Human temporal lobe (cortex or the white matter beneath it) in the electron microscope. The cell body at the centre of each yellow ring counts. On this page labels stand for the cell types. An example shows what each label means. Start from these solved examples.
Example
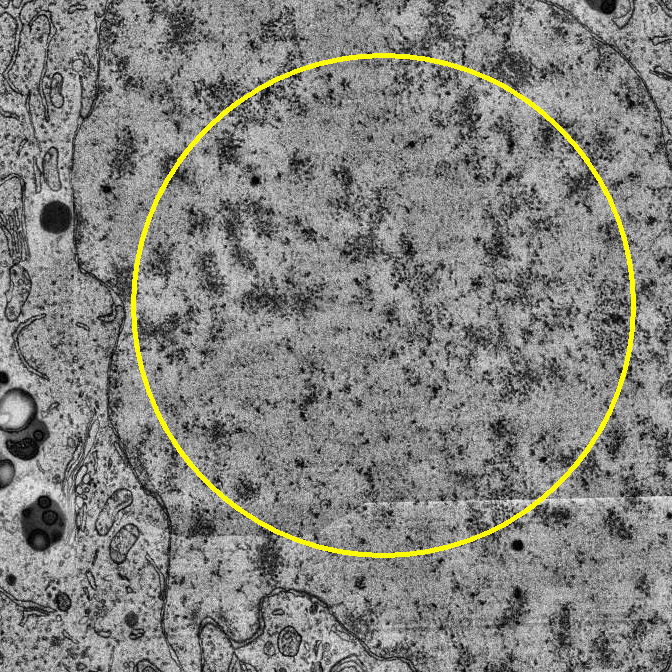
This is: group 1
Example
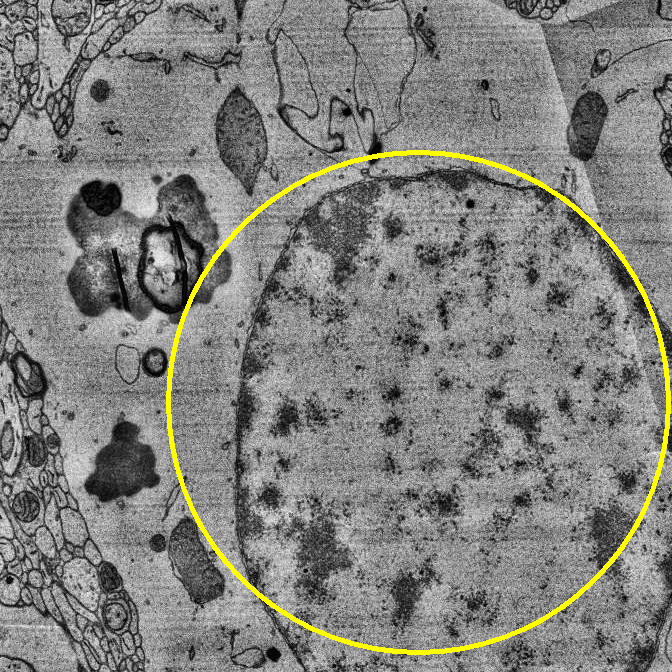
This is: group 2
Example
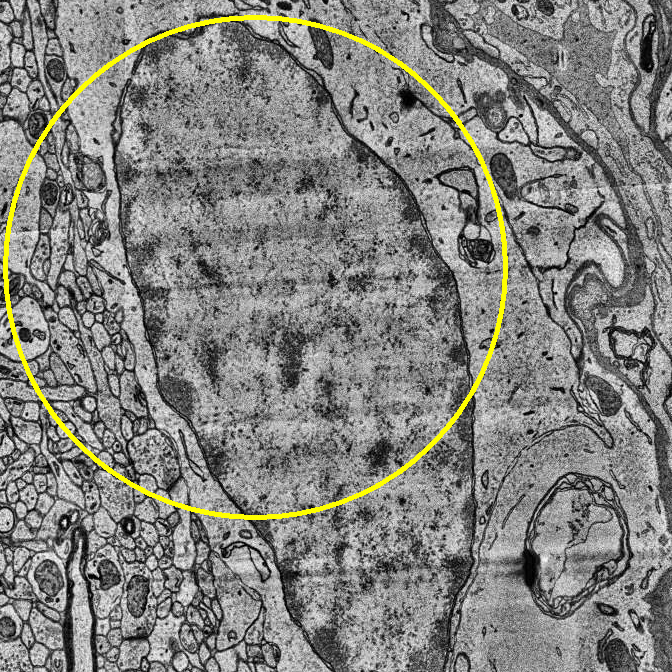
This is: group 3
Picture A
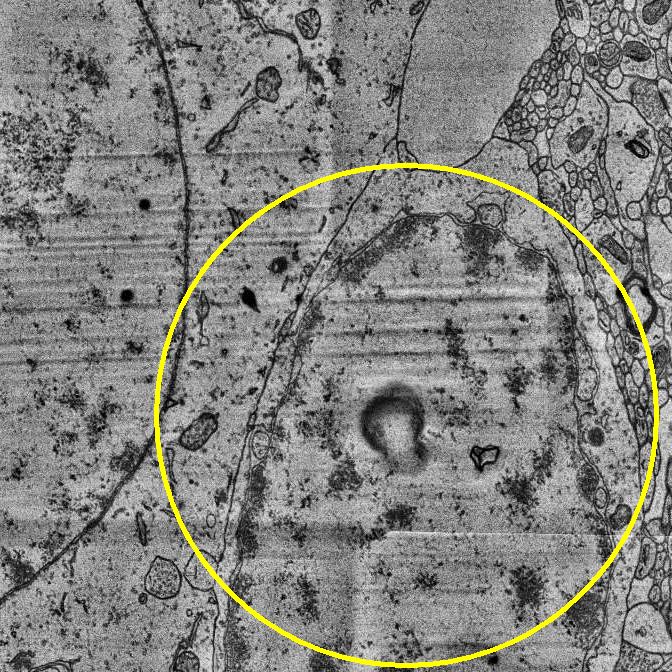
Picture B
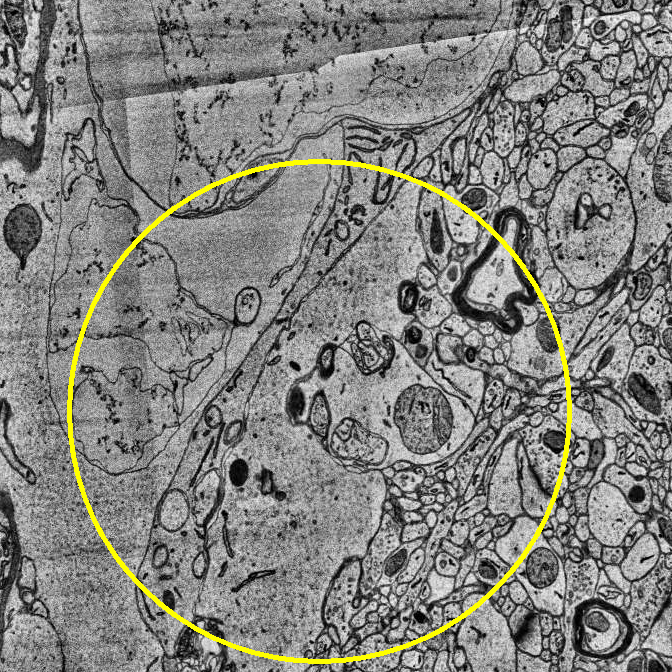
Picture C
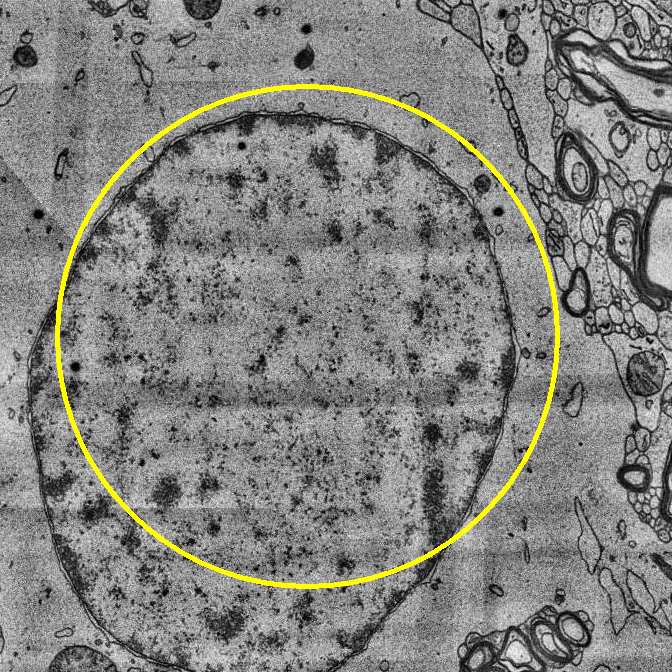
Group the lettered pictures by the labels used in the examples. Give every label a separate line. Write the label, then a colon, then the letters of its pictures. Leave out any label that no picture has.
group 1: A
group 2: C
group 3: B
